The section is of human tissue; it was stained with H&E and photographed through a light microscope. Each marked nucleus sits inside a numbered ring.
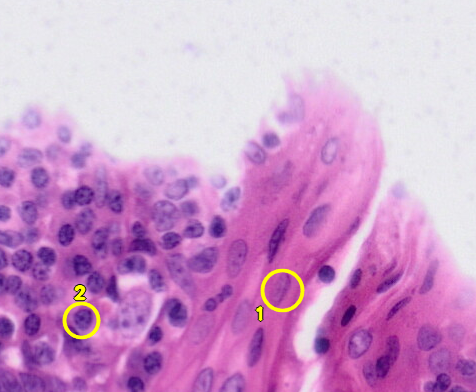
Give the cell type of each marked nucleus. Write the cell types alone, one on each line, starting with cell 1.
squamous epithelial cell
plasma cell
